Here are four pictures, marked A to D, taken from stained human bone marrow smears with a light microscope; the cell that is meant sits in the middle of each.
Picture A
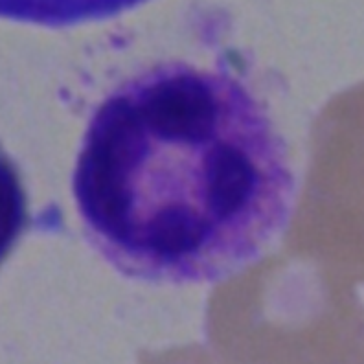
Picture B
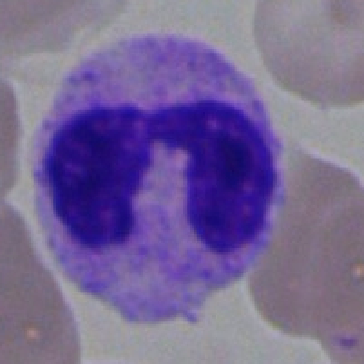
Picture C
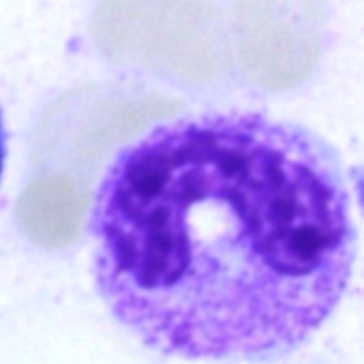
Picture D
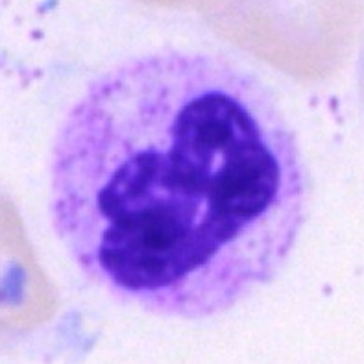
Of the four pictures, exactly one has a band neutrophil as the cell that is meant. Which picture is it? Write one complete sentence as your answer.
The cell in picture C is the band neutrophil.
